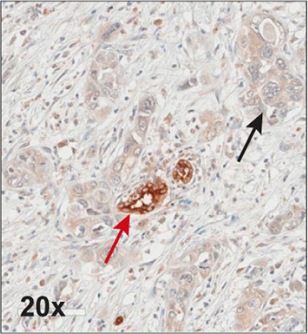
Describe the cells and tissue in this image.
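Here irregular ducts and small clusters of epithelial cells are scattered in a loose, fibrous stroma full of spindle-shaped nuclei. One small duct near the center is lined by cells with intense brown cytoplasm around a clear lumen. Other clusters, such as the one toward the upper right, are made of cells with larger, paler nuclei and only faintly brown cytoplasm.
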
